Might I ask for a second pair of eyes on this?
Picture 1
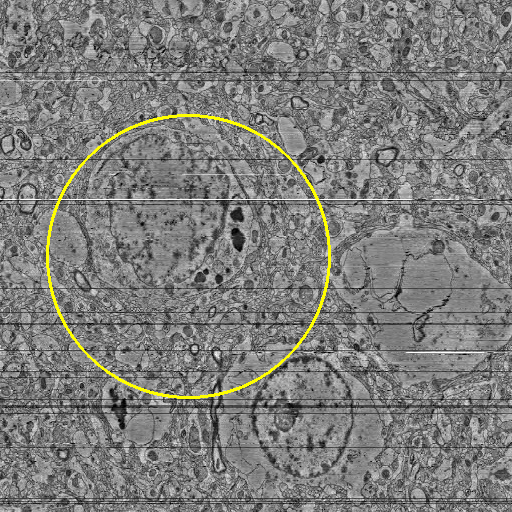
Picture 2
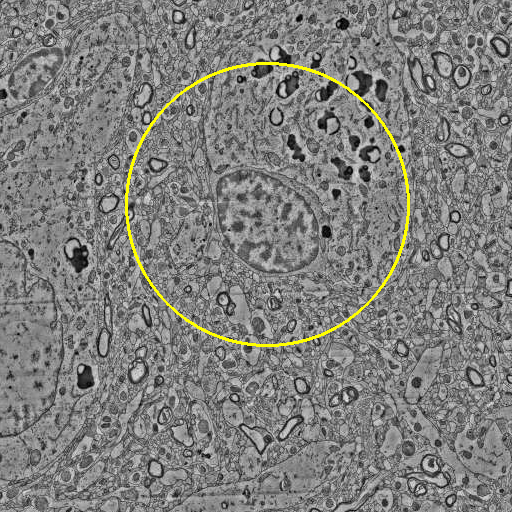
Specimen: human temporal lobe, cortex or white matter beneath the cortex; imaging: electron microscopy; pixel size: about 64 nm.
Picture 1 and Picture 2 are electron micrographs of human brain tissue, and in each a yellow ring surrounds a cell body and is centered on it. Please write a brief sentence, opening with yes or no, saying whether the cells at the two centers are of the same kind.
No, the cells are of two kinds.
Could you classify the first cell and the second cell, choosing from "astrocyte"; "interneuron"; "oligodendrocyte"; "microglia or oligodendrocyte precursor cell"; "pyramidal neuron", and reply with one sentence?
The second cell is an oligodendrocyte, while the first is an interneuron.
